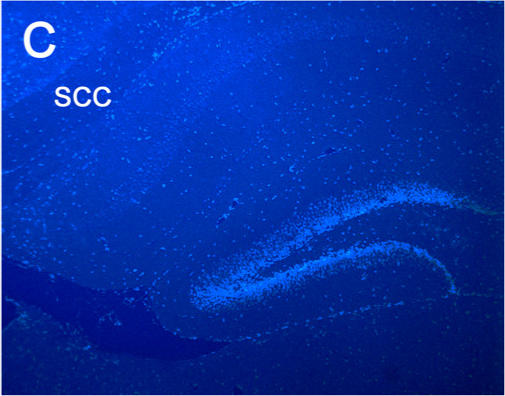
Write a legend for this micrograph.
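This is a section through the hippocampus with all nuclei labelled blue. The granular layer of the dentate gyrus stands out as a dense, curved band of tightly packed nuclei forming two blades that meet at an apex. Elsewhere the nuclei are small and scattered fairly evenly through the surrounding tissue, with a fibre tract at the upper left. A dark, unlabelled gap runs along the lower left edge of the section.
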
